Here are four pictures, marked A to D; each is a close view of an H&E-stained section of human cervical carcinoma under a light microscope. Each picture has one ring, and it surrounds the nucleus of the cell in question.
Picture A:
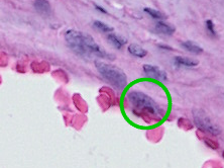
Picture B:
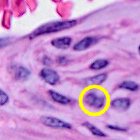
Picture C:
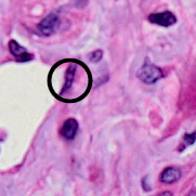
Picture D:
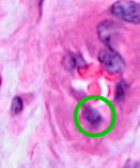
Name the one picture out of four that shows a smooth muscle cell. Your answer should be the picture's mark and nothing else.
B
